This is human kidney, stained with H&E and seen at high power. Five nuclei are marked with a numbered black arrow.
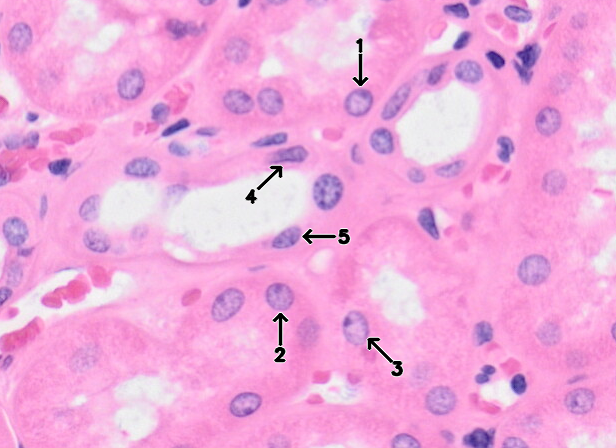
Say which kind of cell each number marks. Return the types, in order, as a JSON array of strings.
["proximal tubule cell", "proximal tubule cell", "proximal tubule cell", "collecting duct cell", "collecting duct cell"]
